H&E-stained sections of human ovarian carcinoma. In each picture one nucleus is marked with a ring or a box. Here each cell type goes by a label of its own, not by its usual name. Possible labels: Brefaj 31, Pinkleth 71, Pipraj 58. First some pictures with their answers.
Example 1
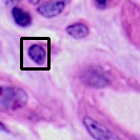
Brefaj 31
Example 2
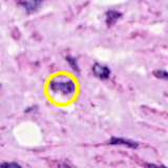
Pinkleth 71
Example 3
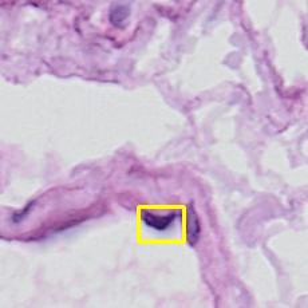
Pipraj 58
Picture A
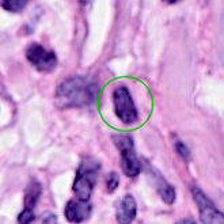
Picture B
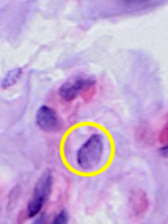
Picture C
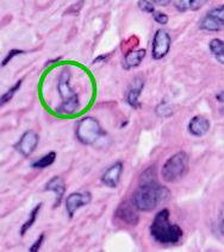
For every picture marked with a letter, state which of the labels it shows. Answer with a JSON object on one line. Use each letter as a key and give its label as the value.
{"A": "Brefaj 31", "B": "Pinkleth 71", "C": "Pinkleth 71"}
